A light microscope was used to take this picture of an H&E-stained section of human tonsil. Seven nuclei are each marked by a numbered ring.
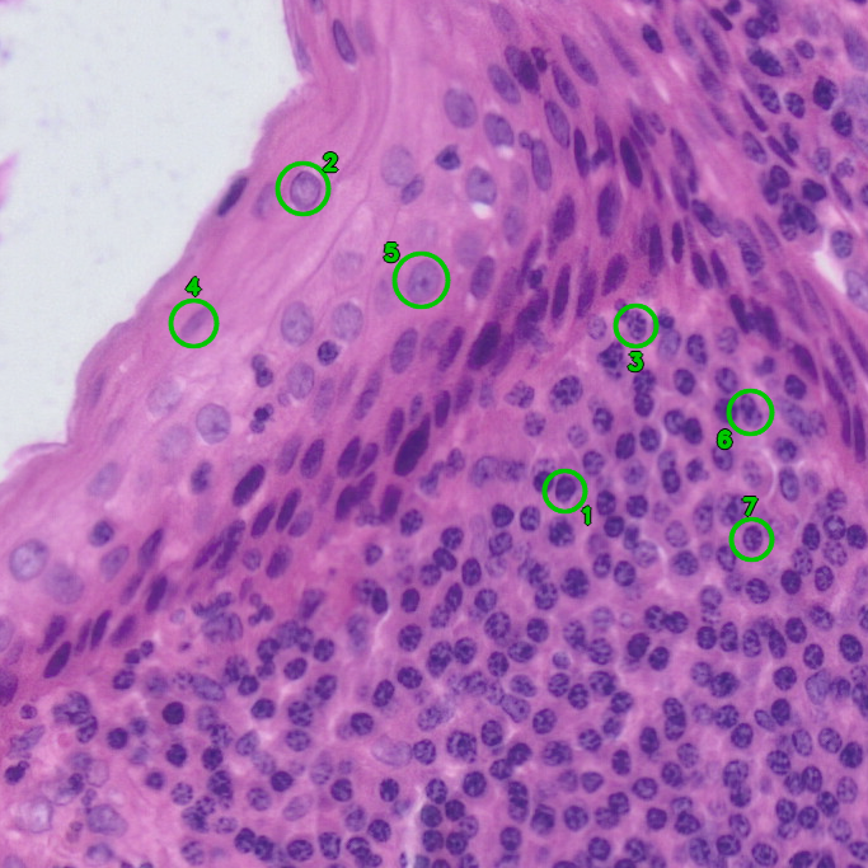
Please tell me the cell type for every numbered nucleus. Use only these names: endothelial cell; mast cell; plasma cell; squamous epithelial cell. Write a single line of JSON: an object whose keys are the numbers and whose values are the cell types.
{"1": "plasma cell", "2": "squamous epithelial cell", "3": "plasma cell", "4": "squamous epithelial cell", "5": "squamous epithelial cell", "6": "plasma cell", "7": "plasma cell"}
